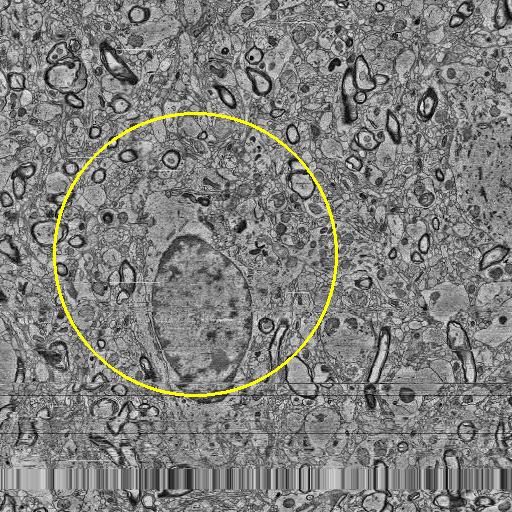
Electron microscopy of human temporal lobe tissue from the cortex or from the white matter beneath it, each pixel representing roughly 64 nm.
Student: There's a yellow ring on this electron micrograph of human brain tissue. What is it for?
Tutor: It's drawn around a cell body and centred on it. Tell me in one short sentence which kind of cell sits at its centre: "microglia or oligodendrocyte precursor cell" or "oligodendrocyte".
The cell at the centre of the ring is a microglial cell or oligodendrocyte precursor cell.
